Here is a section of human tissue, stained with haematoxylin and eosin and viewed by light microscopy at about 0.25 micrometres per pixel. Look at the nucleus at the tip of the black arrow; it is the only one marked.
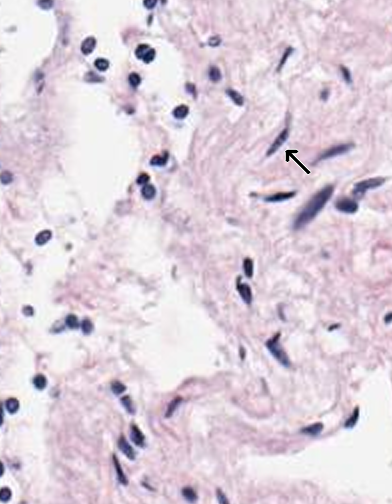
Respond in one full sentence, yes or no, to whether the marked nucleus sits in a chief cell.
No, the marked nucleus, rather than belonging to a chief cell, belongs to a supporting cell.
